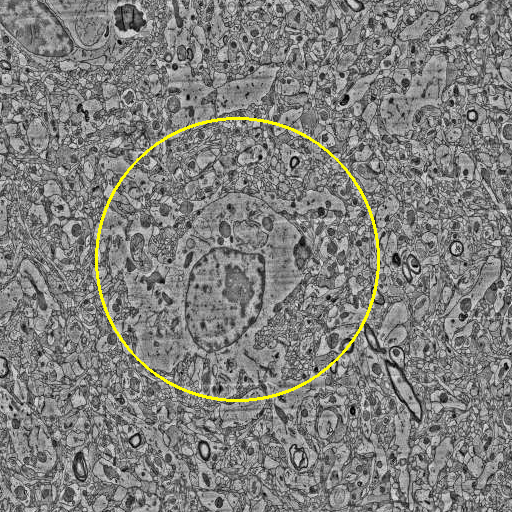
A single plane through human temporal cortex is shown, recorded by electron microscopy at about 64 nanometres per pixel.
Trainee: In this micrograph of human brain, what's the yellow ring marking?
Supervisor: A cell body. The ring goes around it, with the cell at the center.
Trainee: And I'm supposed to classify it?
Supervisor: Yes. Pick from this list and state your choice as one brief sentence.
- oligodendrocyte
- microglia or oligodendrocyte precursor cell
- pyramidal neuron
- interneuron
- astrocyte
The cell at the ring's center is an astrocyte.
